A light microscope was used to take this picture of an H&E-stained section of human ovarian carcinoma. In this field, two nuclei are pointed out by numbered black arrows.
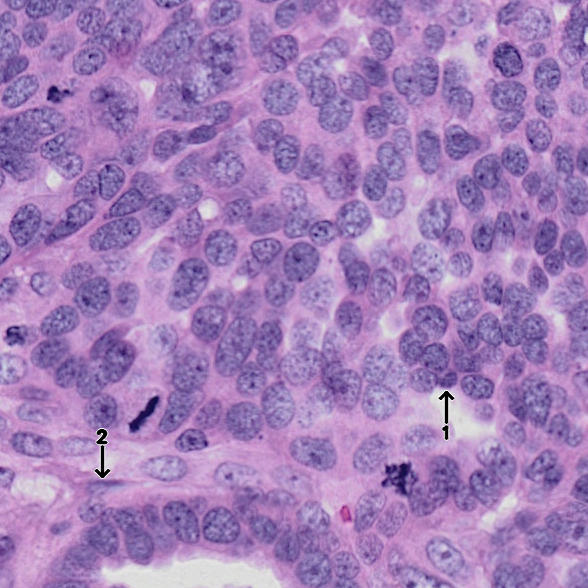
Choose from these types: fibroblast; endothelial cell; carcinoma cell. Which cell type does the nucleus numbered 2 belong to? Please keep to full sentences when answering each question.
Belonging to a fibroblast is the nucleus that carries the number 2.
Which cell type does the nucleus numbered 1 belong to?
In the tissue shown, cell 1 is a carcinoma cell.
